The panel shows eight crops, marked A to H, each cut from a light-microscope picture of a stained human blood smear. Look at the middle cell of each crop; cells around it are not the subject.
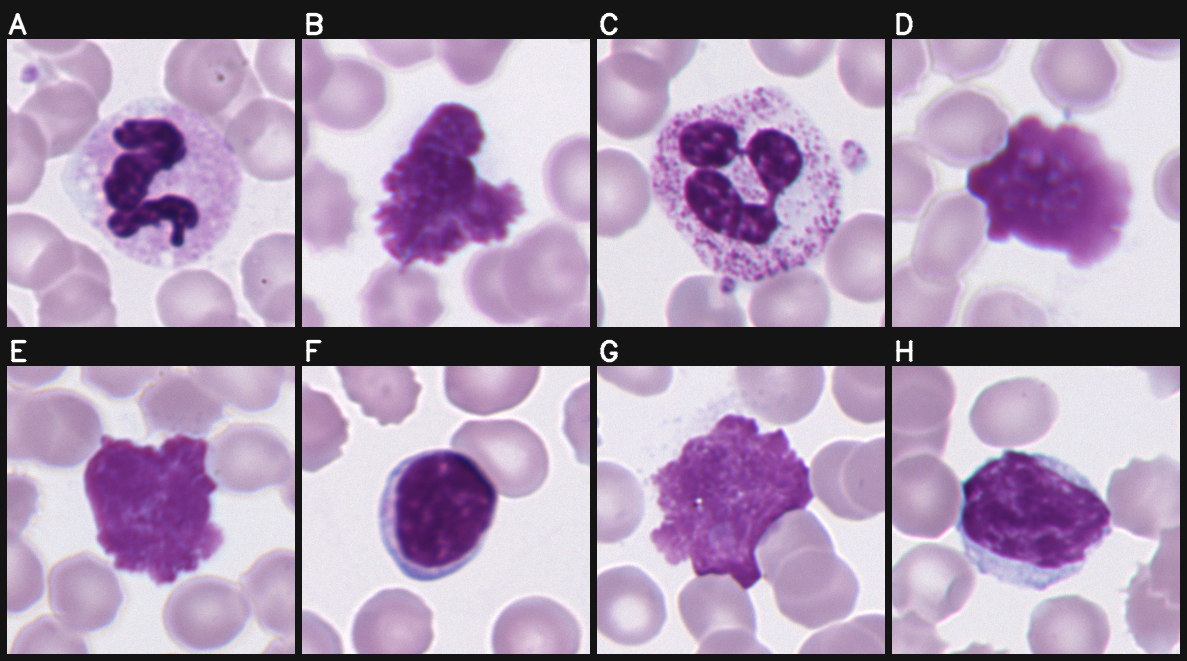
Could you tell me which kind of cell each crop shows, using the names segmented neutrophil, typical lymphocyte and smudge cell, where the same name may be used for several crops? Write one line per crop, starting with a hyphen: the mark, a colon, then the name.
- A: segmented neutrophil
- B: smudge cell
- C: segmented neutrophil
- D: smudge cell
- E: smudge cell
- F: typical lymphocyte
- G: smudge cell
- H: typical lymphocyte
